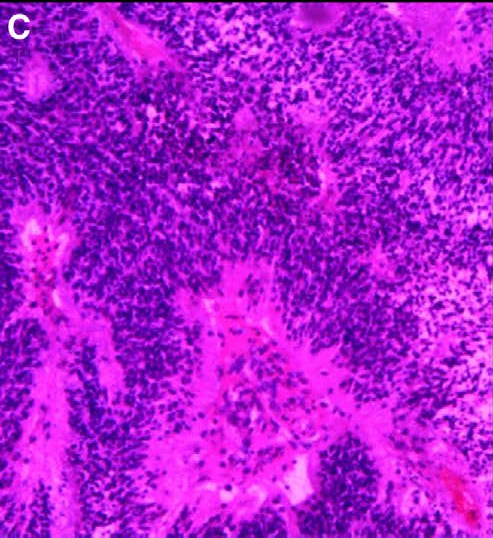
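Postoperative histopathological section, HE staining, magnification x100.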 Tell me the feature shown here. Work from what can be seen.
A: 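Perivascular pseudorosettes. Pale pink zones centred on vessels are surrounded by dense blue nuclei. Nuclei are set at a distance from the central vessels, rimming the pink zones.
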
